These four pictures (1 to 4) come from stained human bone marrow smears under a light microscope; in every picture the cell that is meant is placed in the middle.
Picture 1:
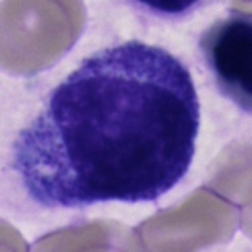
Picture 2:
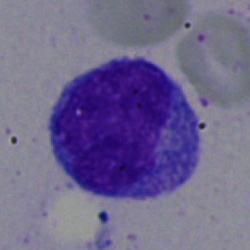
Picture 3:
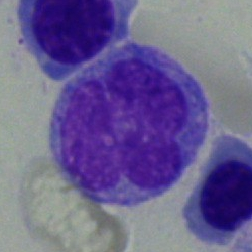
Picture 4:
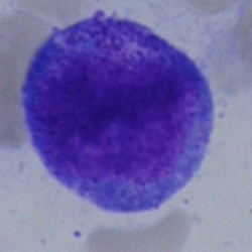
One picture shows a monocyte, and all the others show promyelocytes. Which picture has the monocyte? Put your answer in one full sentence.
The cell in picture 3 is the monocyte.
